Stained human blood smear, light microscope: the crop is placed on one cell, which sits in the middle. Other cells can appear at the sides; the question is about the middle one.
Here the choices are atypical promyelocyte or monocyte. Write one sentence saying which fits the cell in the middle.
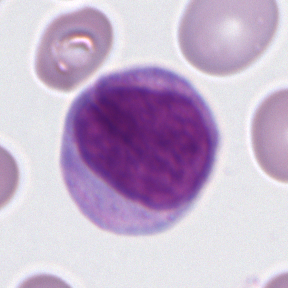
The crop shows an atypical promyelocyte in its centre.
